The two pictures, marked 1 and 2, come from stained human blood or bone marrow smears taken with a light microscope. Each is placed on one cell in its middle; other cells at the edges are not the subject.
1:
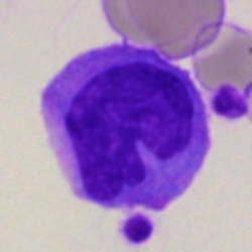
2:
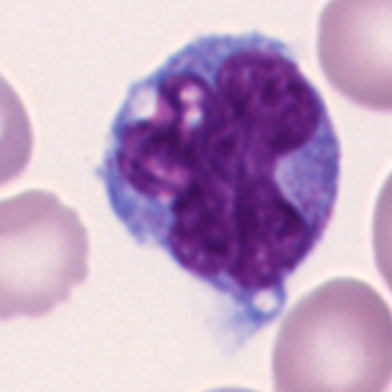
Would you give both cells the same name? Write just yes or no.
yes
